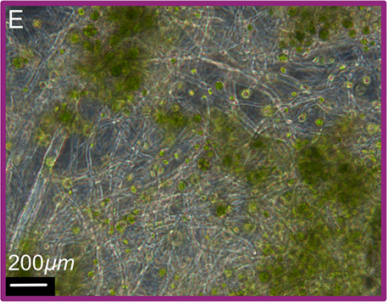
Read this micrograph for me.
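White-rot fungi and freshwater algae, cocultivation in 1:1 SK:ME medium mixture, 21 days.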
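A dense mat of long, thin, interwoven fungal filaments fills the field. Numerous small round green algal cells are scattered among the filaments and gather in darker green patches within the meshwork.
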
